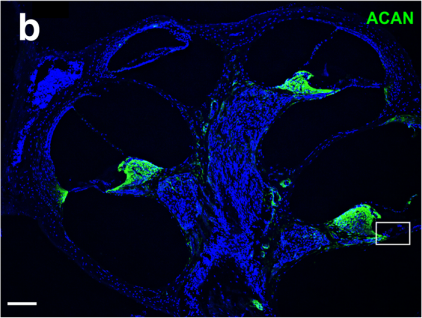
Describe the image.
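Cross-section of the cochlea showing its turns around a central core, with blue nuclei throughout the tissue. Bright green masses occupy the spiral limbus on the inner side of the turns, and fainter green appears in parts of the outer wall tissue.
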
